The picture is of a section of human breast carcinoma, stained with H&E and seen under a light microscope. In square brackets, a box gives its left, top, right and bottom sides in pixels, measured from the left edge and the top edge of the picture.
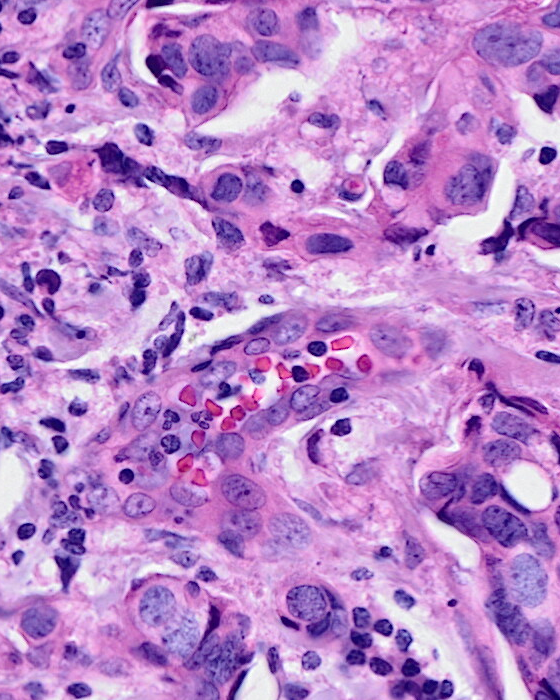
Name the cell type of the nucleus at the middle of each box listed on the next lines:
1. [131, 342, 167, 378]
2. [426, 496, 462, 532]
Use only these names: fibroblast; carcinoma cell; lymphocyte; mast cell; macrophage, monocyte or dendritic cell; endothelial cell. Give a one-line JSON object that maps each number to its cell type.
{"1": "lymphocyte", "2": "carcinoma cell"}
